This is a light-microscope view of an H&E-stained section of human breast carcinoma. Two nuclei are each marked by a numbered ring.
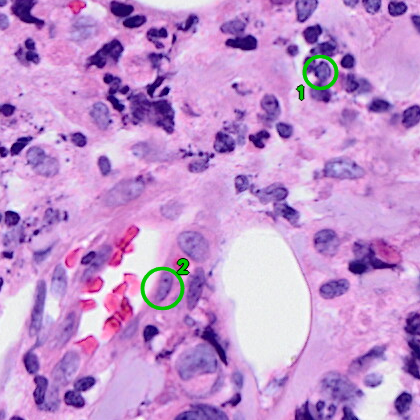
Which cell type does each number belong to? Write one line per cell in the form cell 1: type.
cell 1: lymphocyte
cell 2: endothelial cell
